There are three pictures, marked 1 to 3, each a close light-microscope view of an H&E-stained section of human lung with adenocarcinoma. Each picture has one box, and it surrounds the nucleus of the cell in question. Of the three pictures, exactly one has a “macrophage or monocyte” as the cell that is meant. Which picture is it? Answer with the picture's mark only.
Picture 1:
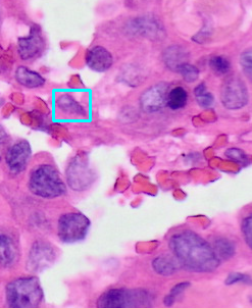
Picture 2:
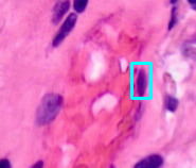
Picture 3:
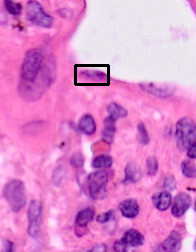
1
